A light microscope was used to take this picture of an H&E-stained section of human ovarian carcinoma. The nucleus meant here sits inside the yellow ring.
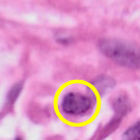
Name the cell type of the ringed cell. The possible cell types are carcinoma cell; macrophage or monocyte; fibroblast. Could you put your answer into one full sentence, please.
Labelled by cell type, the ringed cell is a macrophage or monocyte.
